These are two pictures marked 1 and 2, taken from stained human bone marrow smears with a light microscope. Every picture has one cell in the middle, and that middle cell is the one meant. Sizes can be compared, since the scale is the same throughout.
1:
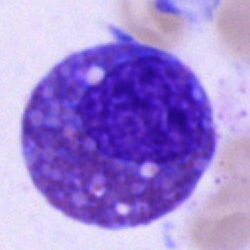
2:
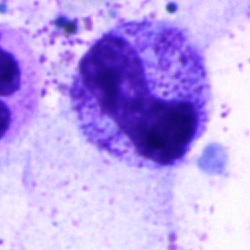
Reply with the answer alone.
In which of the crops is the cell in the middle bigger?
1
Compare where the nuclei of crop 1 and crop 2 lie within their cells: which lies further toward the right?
1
